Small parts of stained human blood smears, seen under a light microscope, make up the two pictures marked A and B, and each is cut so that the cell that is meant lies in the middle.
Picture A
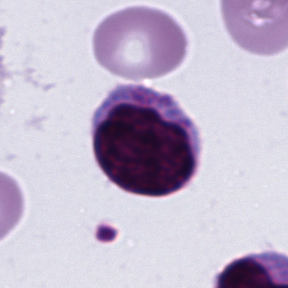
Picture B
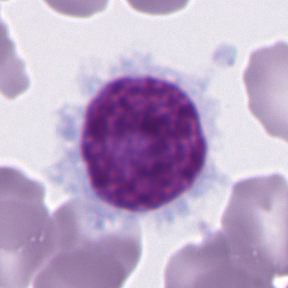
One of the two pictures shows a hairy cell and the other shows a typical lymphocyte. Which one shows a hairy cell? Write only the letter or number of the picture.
B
